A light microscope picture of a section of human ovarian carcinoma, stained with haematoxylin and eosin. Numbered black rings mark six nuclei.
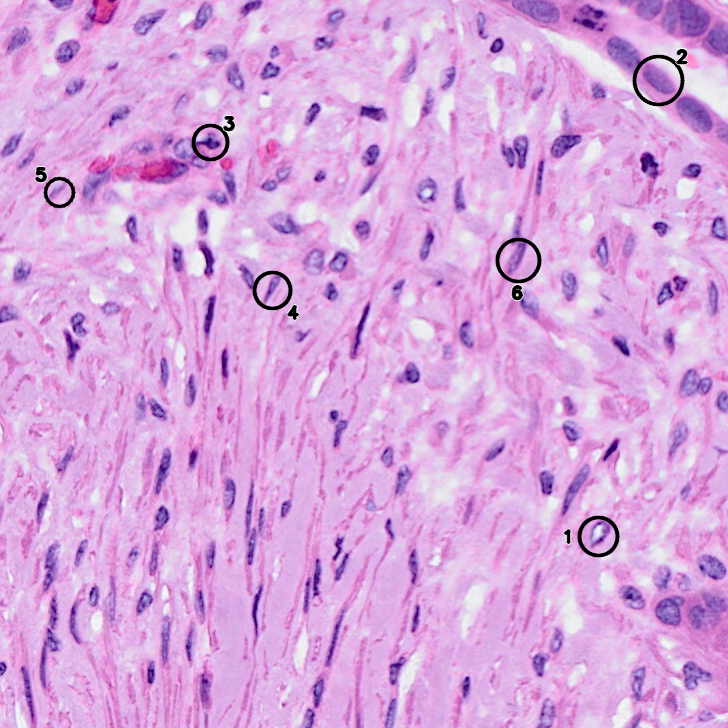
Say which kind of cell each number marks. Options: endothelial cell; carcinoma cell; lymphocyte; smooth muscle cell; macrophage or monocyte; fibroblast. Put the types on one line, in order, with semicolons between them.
fibroblast; carcinoma cell; endothelial cell; fibroblast; fibroblast; fibroblast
